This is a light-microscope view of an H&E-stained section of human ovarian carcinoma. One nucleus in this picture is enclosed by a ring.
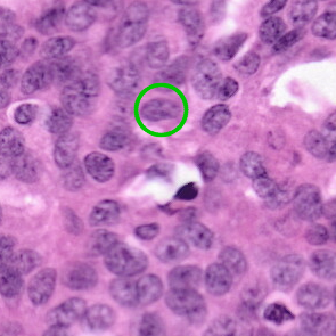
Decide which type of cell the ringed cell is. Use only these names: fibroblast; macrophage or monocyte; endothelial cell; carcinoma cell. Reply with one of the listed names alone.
carcinoma cell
